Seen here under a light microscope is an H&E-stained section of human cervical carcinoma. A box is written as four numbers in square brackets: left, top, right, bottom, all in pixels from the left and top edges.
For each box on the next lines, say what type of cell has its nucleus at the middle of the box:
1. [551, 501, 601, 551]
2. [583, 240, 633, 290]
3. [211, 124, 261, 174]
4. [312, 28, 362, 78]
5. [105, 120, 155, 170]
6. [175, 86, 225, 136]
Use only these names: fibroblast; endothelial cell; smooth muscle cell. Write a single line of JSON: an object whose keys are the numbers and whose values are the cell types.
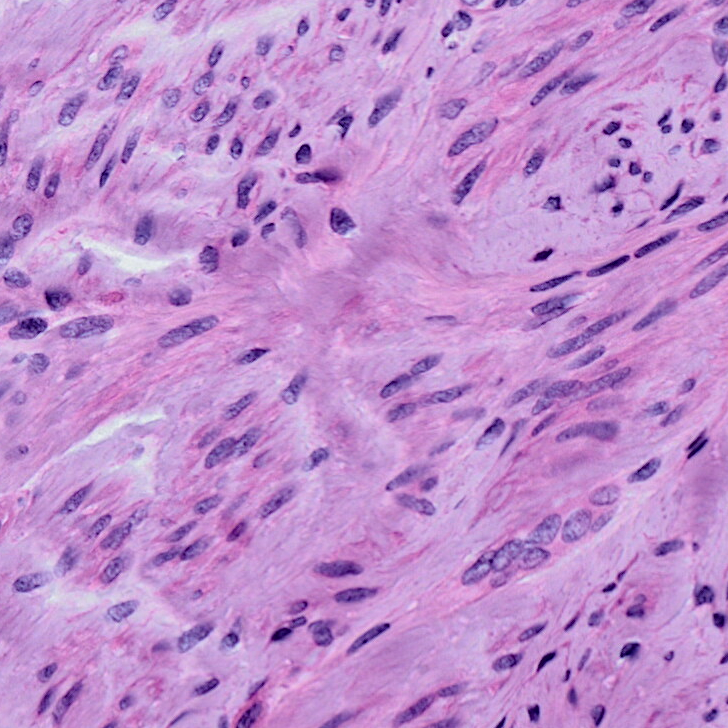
{"1": "endothelial cell", "2": "fibroblast", "3": "smooth muscle cell", "4": "smooth muscle cell", "5": "smooth muscle cell", "6": "smooth muscle cell"}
